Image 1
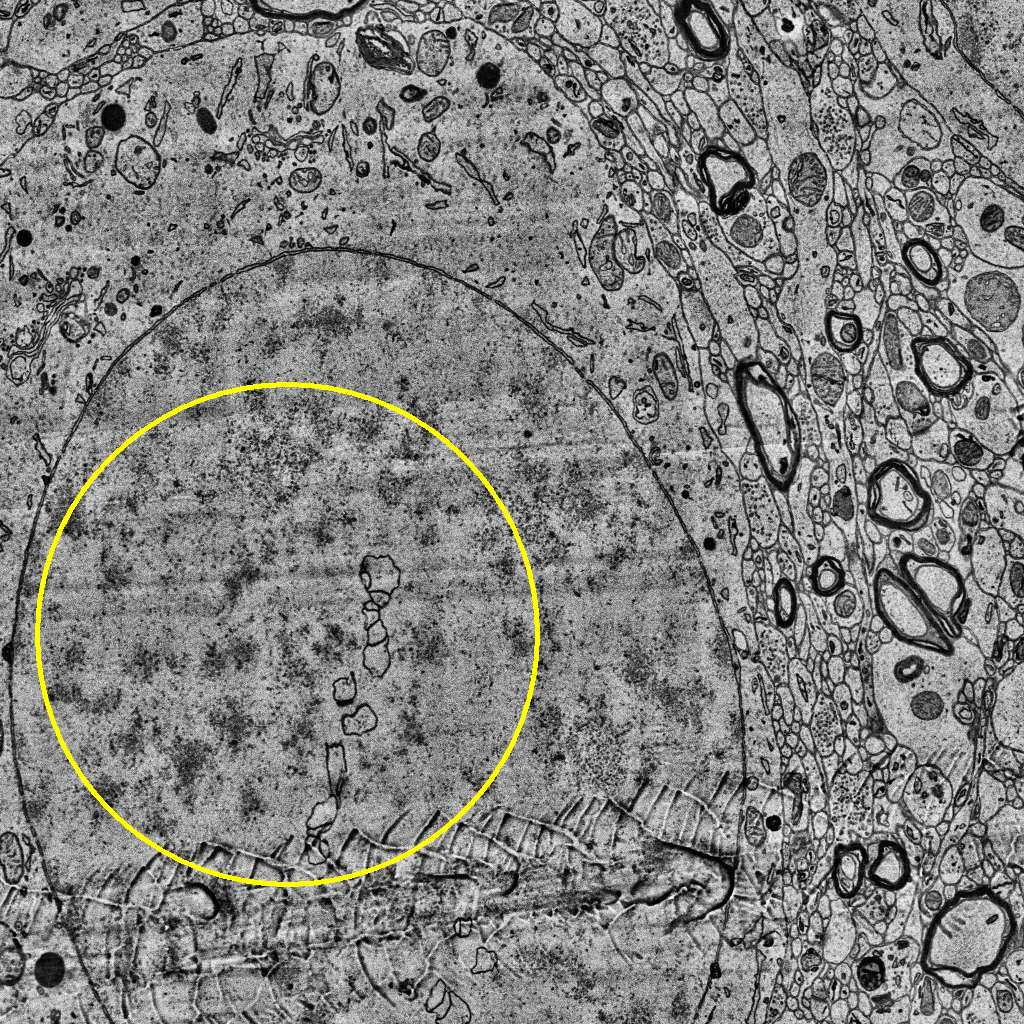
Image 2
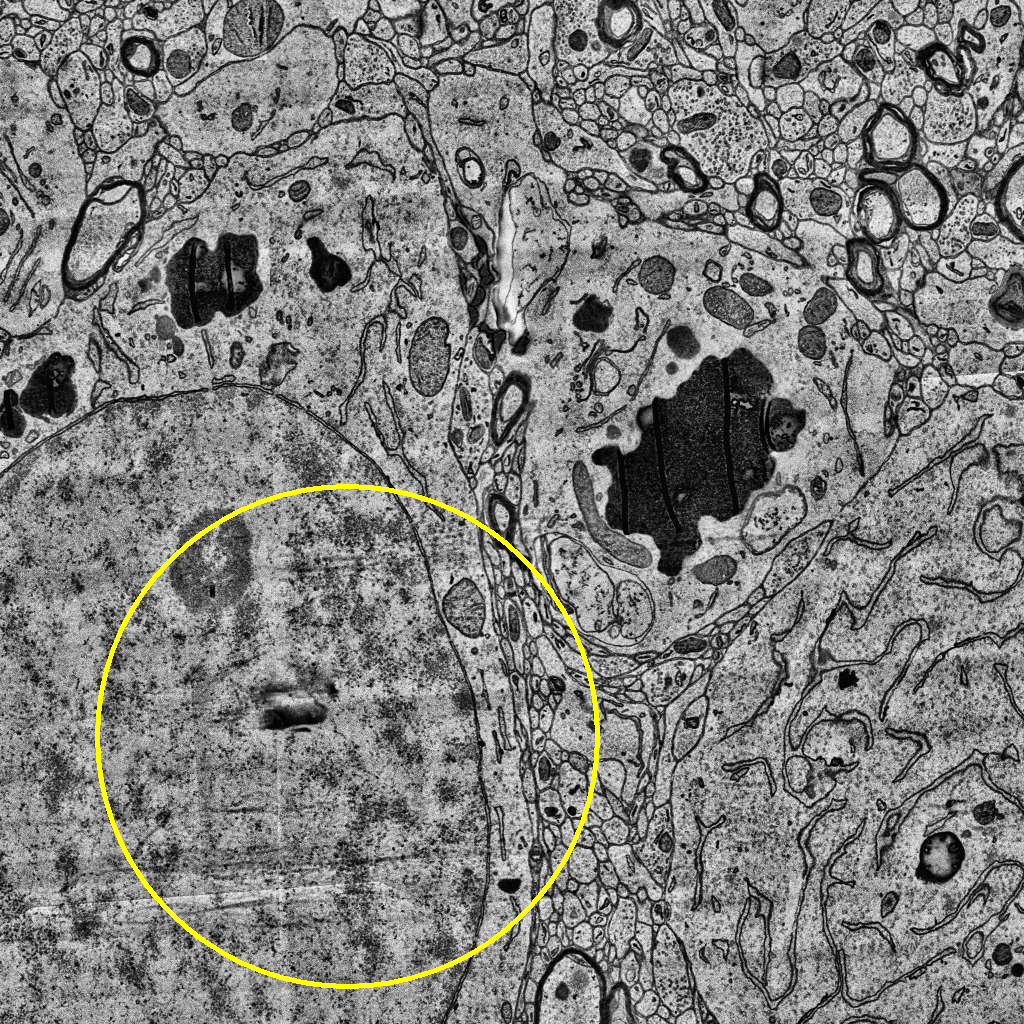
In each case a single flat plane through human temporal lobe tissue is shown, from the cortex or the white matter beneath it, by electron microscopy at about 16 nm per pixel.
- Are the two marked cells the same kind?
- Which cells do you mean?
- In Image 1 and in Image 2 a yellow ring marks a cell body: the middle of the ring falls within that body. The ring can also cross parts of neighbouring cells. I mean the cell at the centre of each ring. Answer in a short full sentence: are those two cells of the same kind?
Yes, both cells are of the same kind.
